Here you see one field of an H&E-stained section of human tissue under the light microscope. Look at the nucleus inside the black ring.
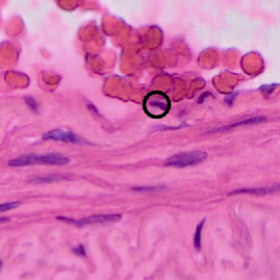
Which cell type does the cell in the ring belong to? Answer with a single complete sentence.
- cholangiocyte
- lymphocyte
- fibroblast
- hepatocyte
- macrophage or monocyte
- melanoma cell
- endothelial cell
The cell type represented by the cell in the ring is that of an endothelial cell.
